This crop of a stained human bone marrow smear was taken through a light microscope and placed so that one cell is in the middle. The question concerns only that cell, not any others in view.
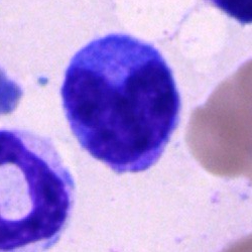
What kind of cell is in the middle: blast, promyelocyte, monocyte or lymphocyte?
monocyte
